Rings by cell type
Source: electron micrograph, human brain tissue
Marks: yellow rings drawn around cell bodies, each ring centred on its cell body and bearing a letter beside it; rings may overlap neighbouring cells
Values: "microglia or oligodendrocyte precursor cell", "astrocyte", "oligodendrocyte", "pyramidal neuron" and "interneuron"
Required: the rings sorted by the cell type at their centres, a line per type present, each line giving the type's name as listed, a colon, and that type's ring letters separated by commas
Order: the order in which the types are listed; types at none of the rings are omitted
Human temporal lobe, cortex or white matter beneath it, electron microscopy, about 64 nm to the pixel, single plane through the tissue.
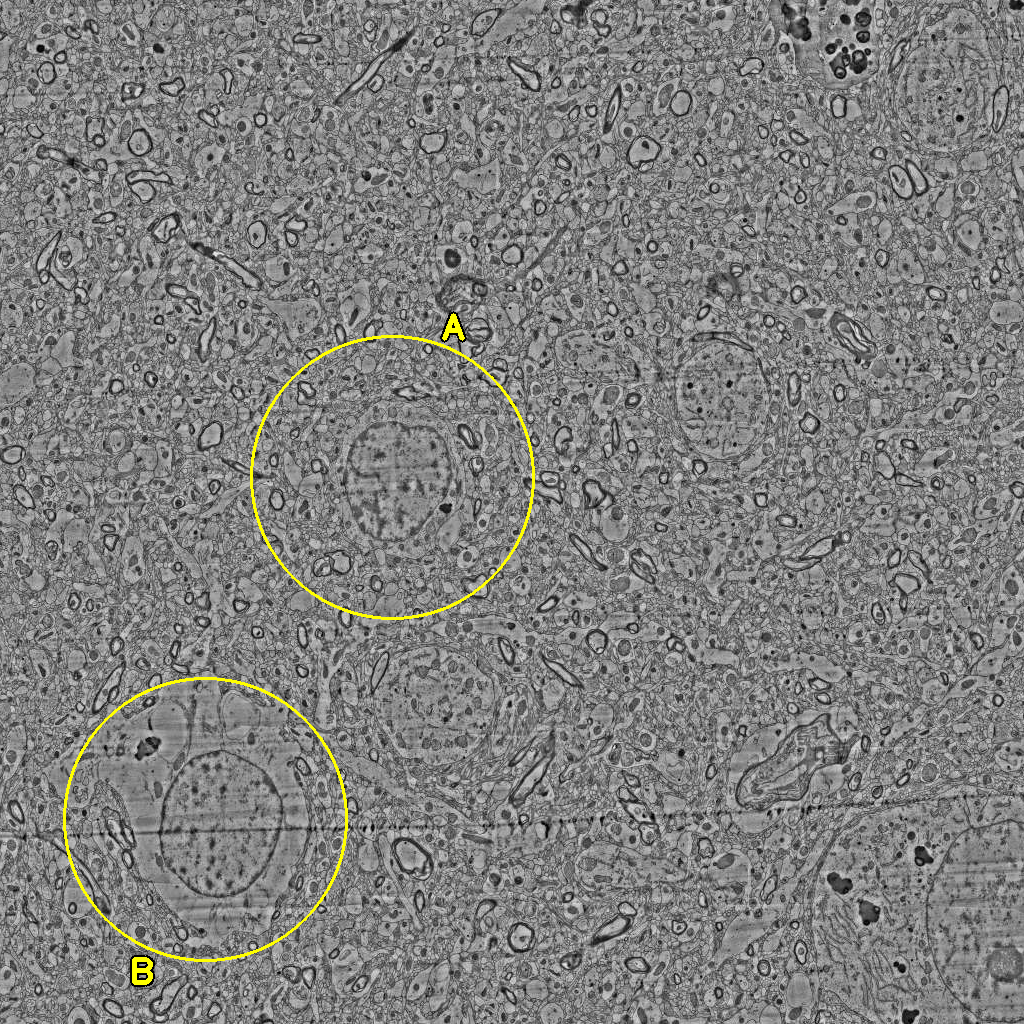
astrocyte: B
interneuron: A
